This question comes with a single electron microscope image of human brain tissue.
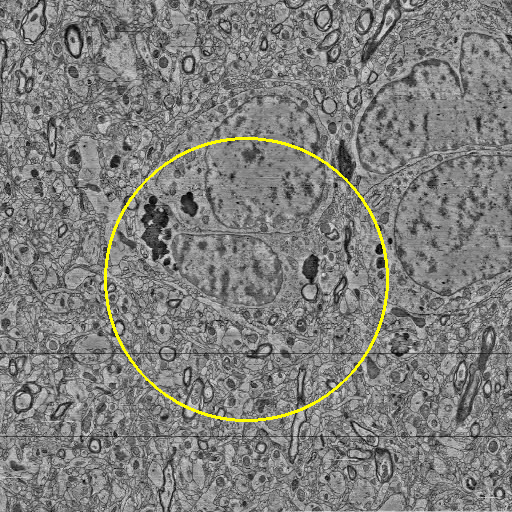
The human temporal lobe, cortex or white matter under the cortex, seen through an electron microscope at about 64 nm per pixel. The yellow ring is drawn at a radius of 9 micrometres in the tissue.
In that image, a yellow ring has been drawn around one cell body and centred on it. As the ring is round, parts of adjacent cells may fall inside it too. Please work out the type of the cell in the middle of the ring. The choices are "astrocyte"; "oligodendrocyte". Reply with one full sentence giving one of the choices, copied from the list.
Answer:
Of the choices, an oligodendrocyte is the cell sitting in the middle of the ring.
